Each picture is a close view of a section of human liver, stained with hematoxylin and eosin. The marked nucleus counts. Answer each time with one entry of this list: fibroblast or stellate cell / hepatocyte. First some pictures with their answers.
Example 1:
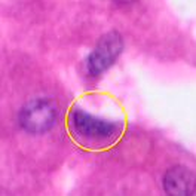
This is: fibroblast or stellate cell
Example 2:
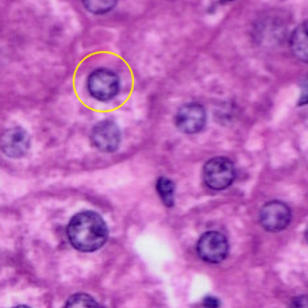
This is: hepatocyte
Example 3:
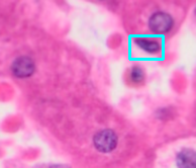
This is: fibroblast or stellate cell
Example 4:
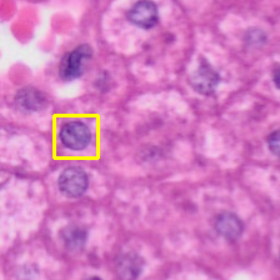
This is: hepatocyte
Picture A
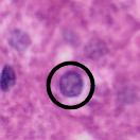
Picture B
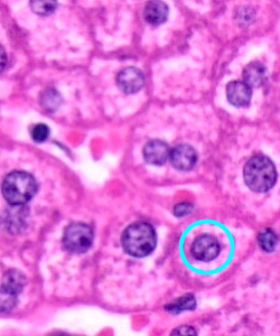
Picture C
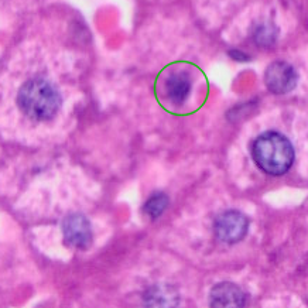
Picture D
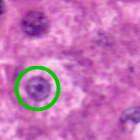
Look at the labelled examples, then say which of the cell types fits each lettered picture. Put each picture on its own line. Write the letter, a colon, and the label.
A: hepatocyte
B: hepatocyte
C: fibroblast or stellate cell
D: hepatocyte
